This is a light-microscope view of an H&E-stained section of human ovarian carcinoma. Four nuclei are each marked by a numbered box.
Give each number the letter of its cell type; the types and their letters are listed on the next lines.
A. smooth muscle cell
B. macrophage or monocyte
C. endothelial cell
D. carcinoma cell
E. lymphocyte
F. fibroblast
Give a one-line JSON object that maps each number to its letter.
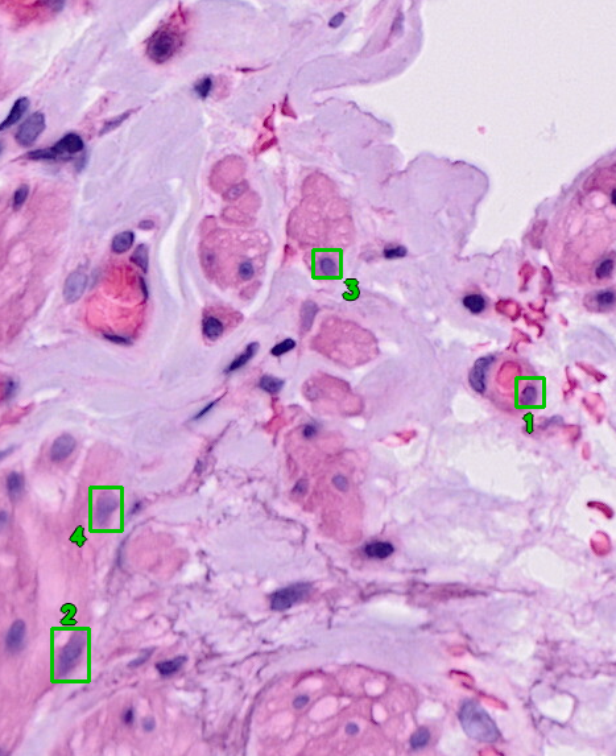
{"1": "C", "2": "A", "3": "A", "4": "A"}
